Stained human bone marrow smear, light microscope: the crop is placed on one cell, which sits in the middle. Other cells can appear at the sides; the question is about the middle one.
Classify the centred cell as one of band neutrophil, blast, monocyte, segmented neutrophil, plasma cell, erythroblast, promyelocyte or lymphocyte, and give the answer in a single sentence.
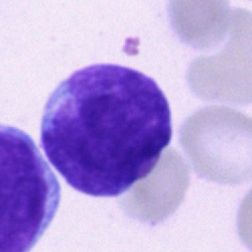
Of the cells in this crop, the central one is a blast.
